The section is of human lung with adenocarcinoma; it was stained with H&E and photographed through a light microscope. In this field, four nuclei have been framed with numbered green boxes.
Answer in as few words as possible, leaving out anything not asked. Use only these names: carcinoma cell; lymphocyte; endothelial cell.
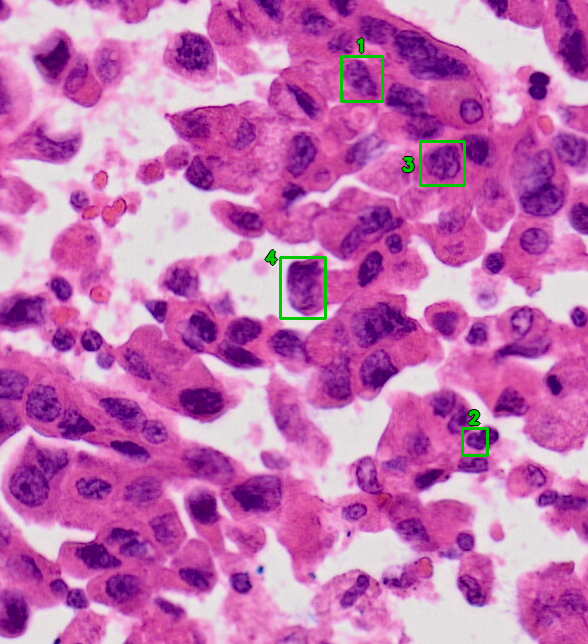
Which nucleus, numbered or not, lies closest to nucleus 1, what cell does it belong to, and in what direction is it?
a carcinoma cell, above and to the left of nucleus 1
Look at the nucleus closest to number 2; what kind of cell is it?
lymphocyte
